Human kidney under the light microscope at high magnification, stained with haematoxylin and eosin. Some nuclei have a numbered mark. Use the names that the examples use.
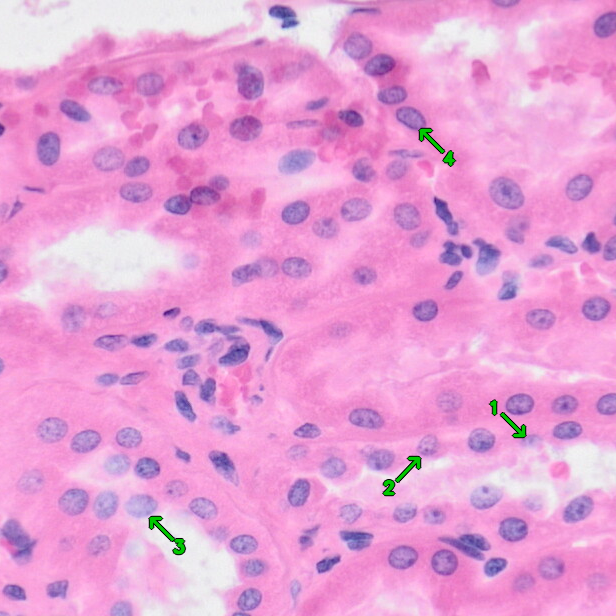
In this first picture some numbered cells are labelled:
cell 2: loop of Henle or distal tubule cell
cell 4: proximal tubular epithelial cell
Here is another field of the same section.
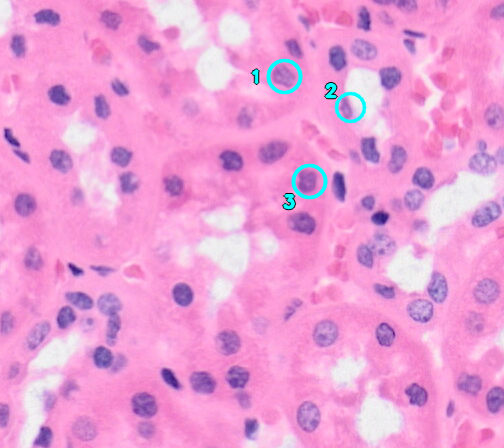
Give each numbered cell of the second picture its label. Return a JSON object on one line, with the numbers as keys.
{"1": "proximal tubular epithelial cell", "2": "loop of Henle or distal tubule cell", "3": "proximal tubular epithelial cell"}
